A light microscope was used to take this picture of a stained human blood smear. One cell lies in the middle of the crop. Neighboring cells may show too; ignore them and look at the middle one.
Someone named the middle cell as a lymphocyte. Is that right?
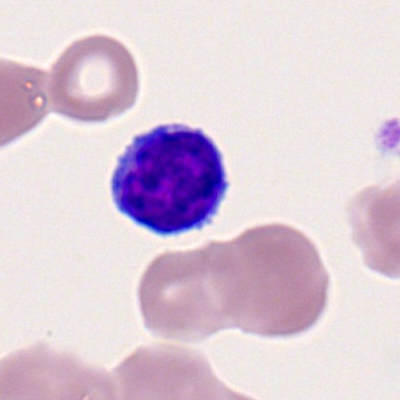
yes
